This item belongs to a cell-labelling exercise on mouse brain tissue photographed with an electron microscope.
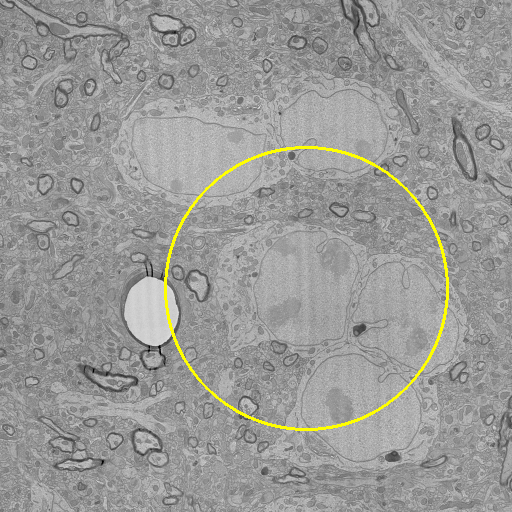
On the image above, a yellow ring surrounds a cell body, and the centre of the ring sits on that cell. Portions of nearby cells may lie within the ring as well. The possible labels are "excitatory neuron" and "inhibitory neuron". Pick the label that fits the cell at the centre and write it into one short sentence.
This cell should be labelled as an excitatory neuron.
